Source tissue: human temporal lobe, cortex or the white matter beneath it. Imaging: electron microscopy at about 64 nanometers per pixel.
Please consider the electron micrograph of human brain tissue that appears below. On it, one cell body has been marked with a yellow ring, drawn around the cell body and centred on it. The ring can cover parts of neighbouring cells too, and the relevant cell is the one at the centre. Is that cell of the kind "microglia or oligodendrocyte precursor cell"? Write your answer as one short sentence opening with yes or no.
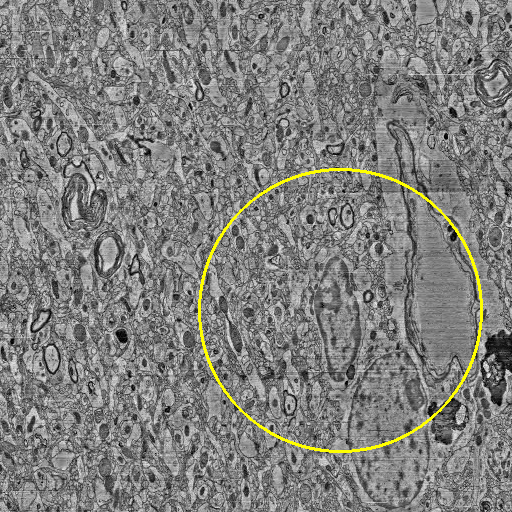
Yes, it is of that kind.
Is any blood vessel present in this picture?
Yes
